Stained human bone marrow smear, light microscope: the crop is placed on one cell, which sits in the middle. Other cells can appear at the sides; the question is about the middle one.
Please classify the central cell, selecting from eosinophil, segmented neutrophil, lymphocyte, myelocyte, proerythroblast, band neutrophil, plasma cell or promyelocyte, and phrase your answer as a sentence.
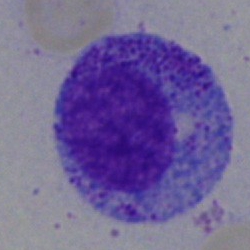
Standing at the centre of this crop is a promyelocyte.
